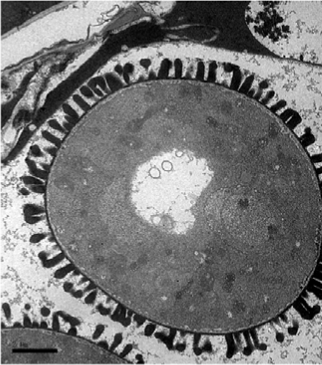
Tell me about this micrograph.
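This is a single pollen grain seen in section, round and filled with dense grey cytoplasm. Its wall carries a regular palisade of dark rod-shaped projections all around the outside. Inside, the cytoplasm holds many small round organelles and a pale central vacuole containing a few small vesicles. The cytoplasm lies snugly against the wall all the way around.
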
